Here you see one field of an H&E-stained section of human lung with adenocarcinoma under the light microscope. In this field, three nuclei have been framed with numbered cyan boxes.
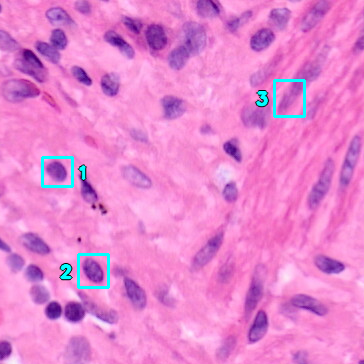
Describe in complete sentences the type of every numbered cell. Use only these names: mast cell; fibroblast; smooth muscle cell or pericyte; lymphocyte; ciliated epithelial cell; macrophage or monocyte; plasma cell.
Cell 1 is a lymphocyte. Cell 2 is a mast cell. Cell 3 is a smooth muscle cell or pericyte.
